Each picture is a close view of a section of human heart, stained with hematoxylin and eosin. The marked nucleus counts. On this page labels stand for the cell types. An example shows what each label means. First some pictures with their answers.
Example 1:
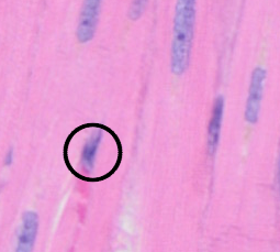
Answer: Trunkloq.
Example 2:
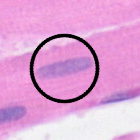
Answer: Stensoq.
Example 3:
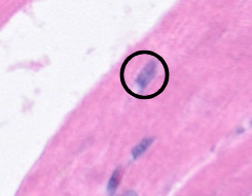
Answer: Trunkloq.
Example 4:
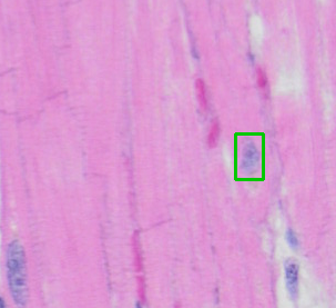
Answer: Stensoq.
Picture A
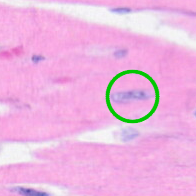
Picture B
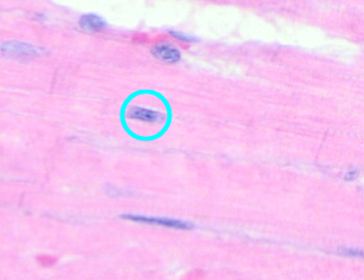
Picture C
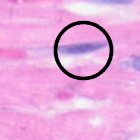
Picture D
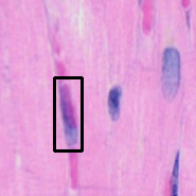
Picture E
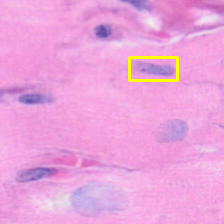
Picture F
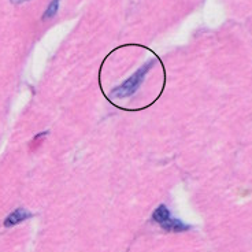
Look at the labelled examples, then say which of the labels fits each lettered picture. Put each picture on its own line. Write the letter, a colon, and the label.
A: Stensoq.
B: Trunkloq.
C: Trunkloq.
D: Trunkloq.
E: Stensoq.
F: Trunkloq.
